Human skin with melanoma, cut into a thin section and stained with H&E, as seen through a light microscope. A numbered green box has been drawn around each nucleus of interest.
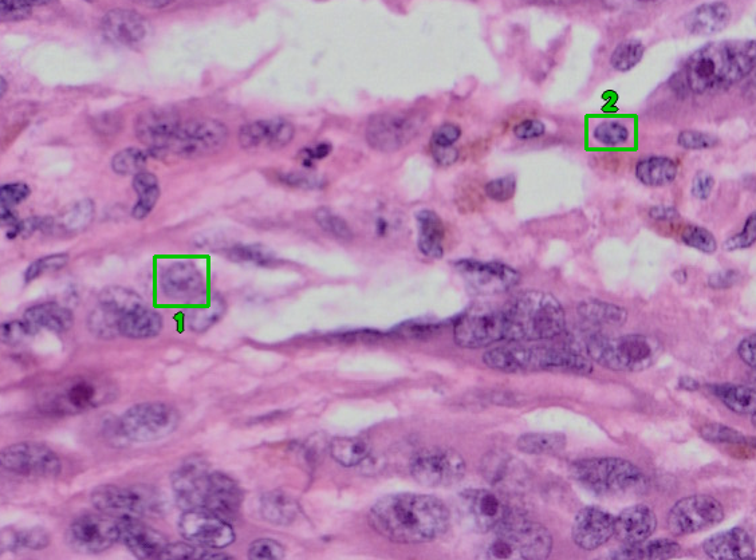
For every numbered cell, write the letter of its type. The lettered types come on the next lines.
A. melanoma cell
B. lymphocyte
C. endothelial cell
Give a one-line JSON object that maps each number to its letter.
{"1": "A", "2": "B"}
